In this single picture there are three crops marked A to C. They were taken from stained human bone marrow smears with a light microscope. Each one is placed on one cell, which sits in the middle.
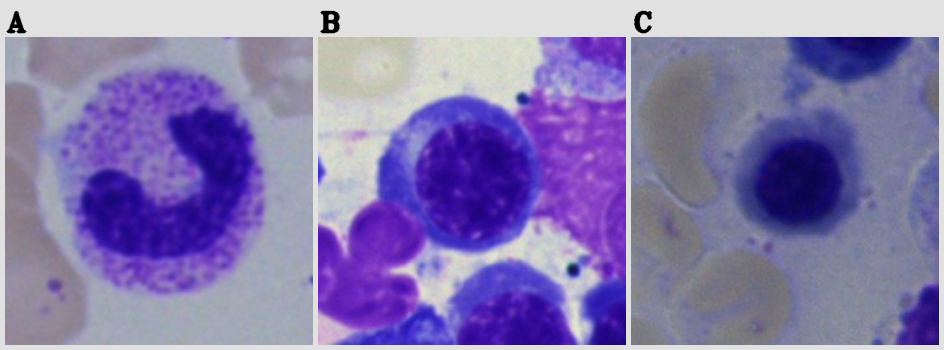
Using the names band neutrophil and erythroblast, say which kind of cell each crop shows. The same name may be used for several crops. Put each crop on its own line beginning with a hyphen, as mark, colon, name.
- A: band neutrophil
- B: erythroblast
- C: erythroblast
